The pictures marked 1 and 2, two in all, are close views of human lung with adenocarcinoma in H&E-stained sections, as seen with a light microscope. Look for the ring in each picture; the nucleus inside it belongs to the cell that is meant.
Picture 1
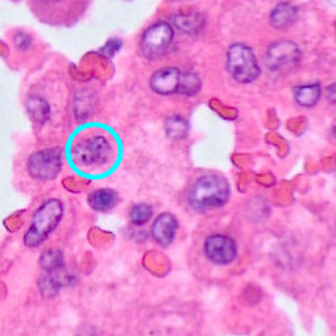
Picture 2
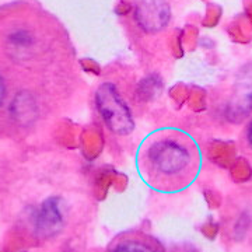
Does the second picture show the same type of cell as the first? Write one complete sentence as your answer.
Yes, both are “macrophages or monocytes”.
